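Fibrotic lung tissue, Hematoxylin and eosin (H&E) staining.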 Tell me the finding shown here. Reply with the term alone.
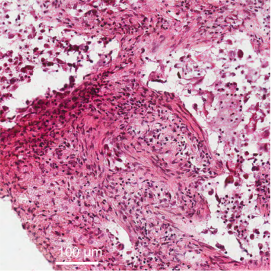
Highly remodeled region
